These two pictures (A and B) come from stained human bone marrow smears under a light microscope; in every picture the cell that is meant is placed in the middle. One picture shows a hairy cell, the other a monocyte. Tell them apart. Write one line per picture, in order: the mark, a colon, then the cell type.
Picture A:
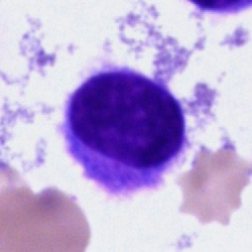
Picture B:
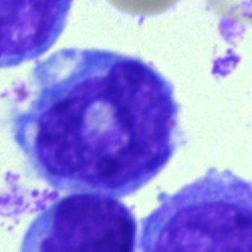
A: hairy cell
B: monocyte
